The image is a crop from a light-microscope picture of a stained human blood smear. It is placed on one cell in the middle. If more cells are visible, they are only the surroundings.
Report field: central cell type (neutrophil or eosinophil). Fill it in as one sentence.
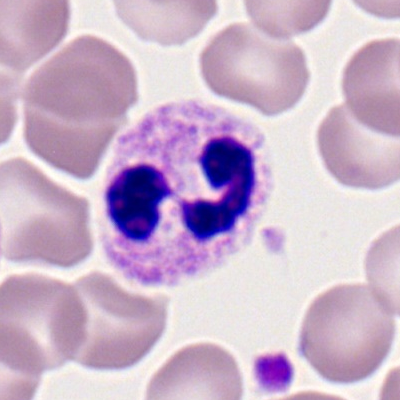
By classification, the middle cell of this crop is a neutrophil.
